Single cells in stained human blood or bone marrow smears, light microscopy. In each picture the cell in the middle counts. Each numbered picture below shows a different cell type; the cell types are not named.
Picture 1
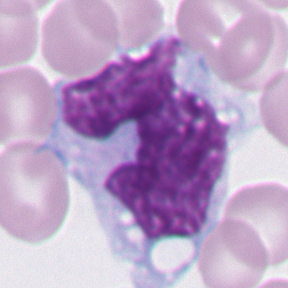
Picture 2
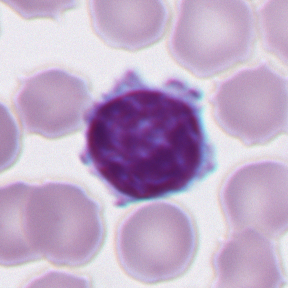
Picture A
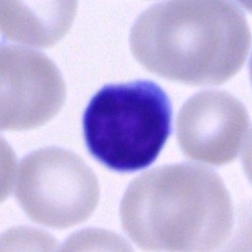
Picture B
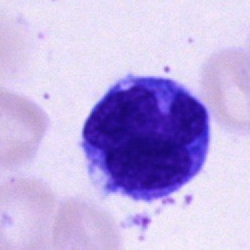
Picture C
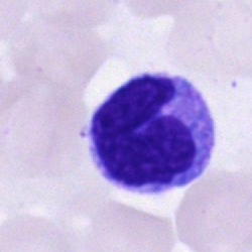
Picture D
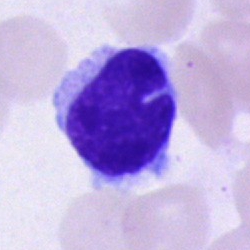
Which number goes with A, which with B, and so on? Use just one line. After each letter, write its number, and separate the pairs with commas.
A 2, B 1, C 1, D 1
